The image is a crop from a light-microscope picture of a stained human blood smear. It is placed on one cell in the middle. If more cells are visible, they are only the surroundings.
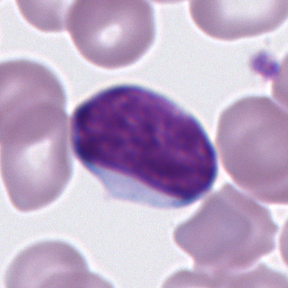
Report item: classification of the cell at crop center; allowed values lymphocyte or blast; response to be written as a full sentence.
The middle position in this crop is taken by a blast.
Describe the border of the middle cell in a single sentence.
The edge of the cell is unbroken and smooth, bearing no projections.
